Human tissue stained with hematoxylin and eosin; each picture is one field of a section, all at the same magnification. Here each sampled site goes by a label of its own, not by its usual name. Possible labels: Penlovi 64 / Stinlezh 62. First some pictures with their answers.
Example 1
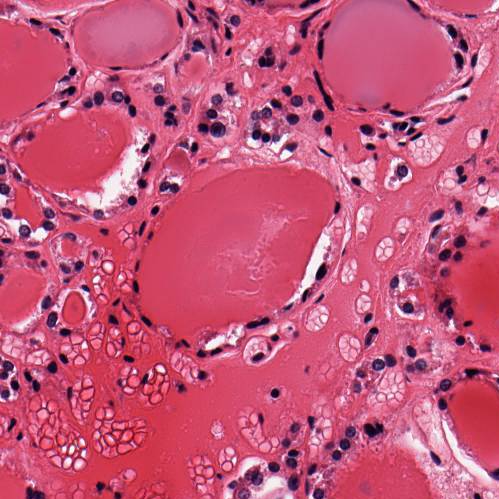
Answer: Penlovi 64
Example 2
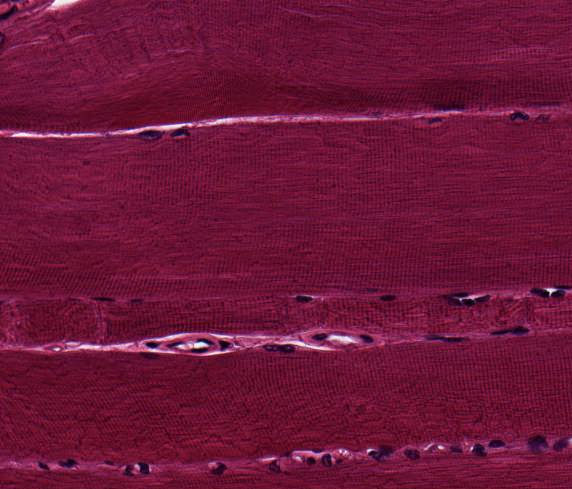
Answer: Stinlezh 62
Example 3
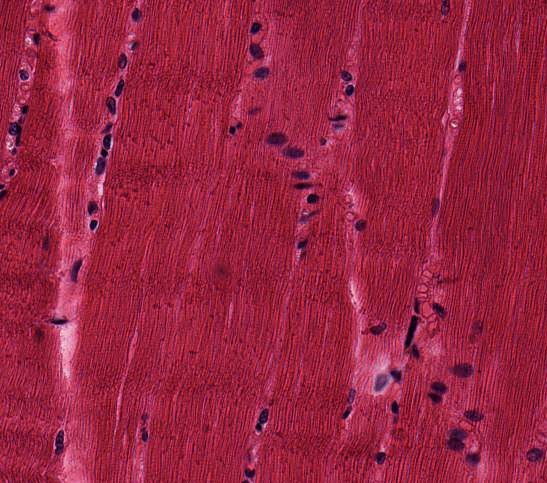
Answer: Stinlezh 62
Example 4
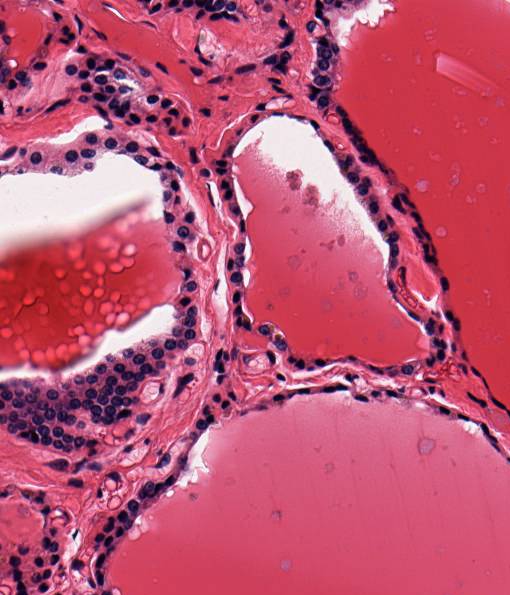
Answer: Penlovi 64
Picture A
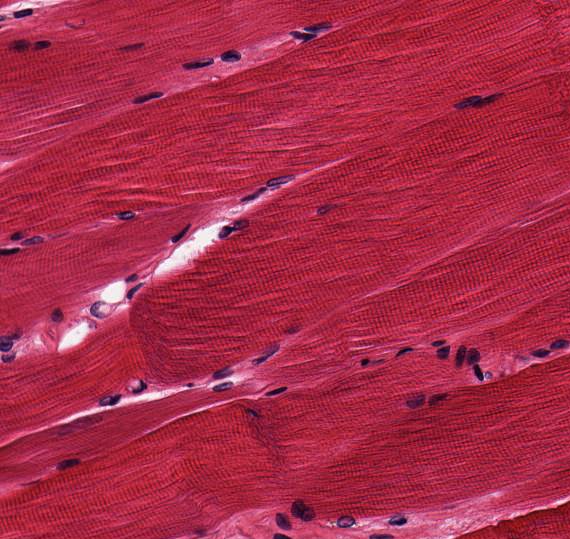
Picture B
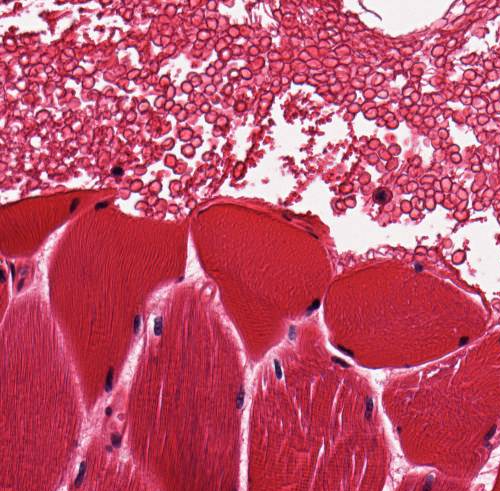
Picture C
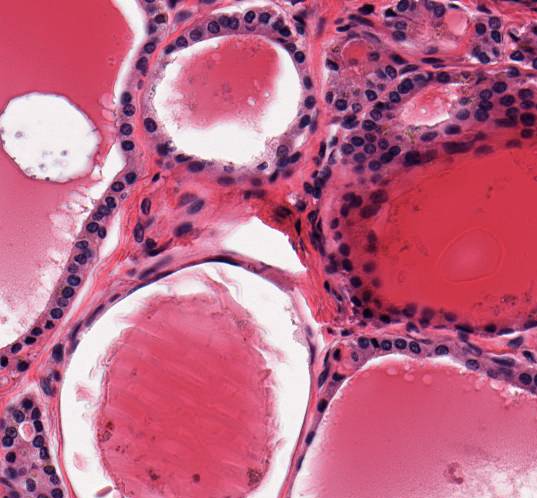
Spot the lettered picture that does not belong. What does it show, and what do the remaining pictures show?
Exception: C, showing Penlovi 64. Remaining pictures: Stinlezh 62.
